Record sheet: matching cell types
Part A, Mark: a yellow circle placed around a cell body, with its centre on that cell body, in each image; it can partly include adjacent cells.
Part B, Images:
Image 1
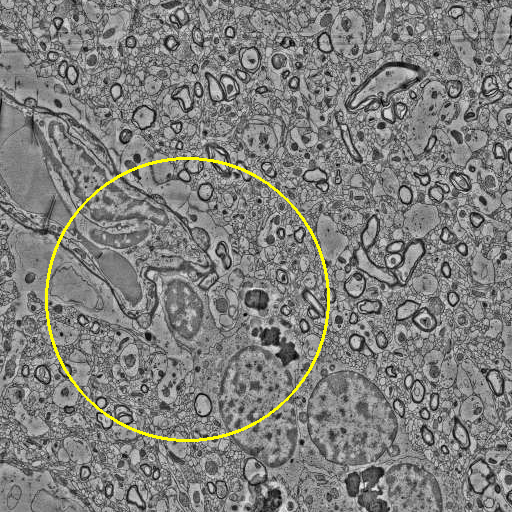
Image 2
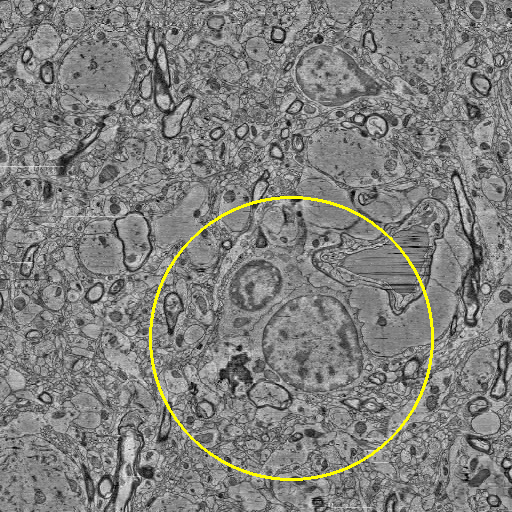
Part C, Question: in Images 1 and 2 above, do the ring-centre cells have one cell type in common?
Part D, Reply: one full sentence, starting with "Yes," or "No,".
Yes, the ring-centre cells of Image 1 and Image 2 are both of a single cell type.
